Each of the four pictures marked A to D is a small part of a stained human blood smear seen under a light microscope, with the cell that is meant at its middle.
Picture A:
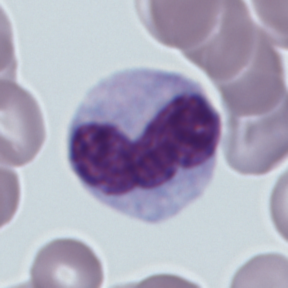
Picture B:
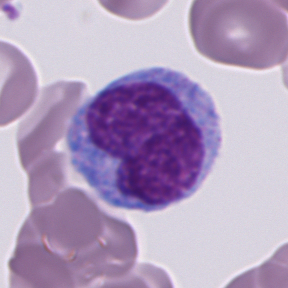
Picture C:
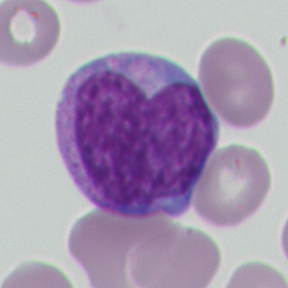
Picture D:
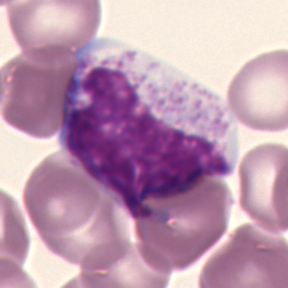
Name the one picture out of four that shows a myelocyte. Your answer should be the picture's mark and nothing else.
D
